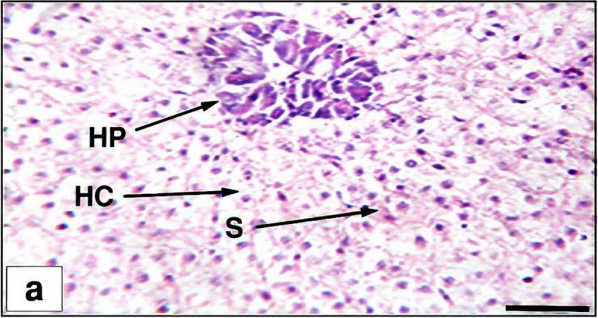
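Fish liver tissue made of hepatic cells, polygonal cells with central round dark nuclei and pale pink, finely granular cytoplasm. Near the top lies an island of hepatopancreas, a compact cluster of darker purple-staining glandular cells arranged around a small central lumen, standing out sharply from the surrounding pale liver tissue.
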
